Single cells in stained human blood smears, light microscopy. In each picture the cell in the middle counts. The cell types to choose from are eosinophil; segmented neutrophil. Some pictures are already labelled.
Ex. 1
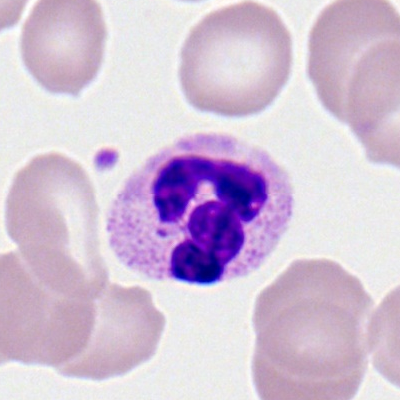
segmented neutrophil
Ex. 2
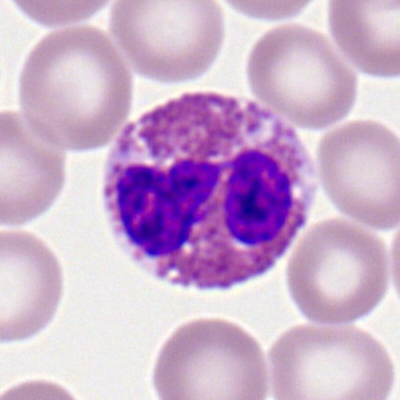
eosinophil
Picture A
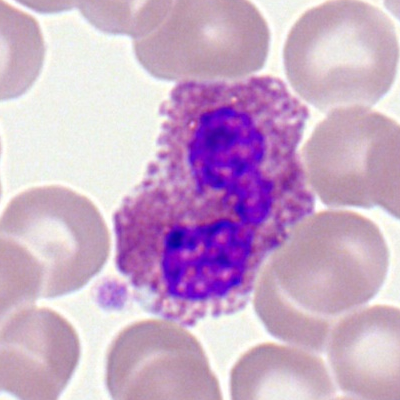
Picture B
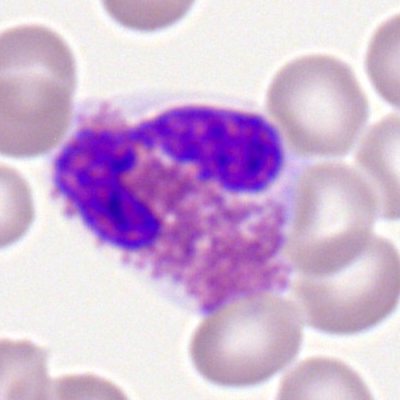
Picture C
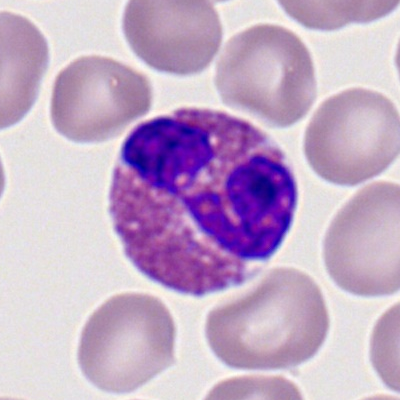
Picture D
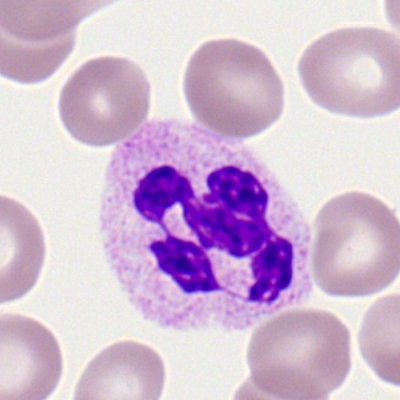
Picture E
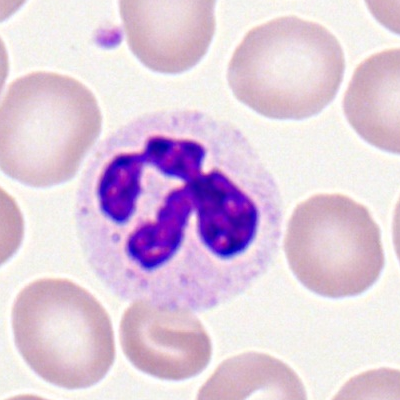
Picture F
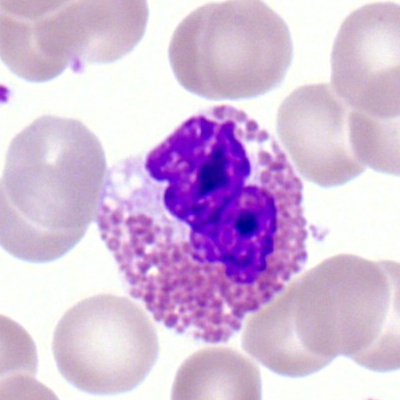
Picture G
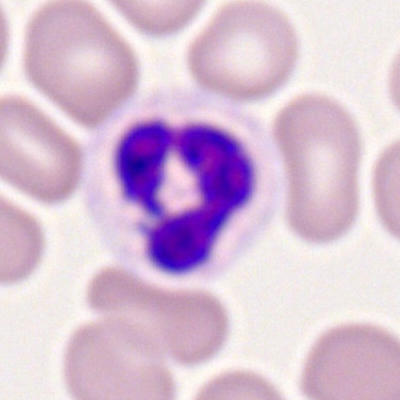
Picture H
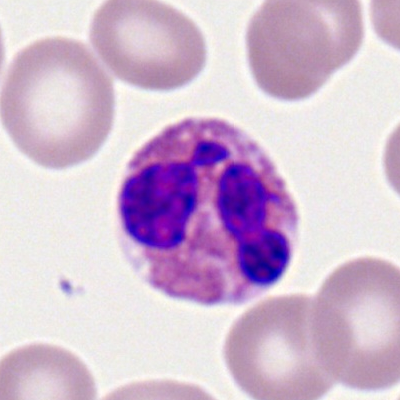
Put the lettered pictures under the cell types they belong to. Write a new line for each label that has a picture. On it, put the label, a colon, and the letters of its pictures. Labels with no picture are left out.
eosinophil: A, B, C, F, H
segmented neutrophil: D, E, G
